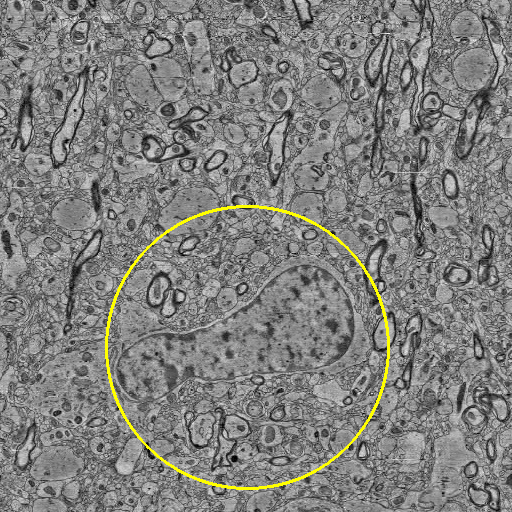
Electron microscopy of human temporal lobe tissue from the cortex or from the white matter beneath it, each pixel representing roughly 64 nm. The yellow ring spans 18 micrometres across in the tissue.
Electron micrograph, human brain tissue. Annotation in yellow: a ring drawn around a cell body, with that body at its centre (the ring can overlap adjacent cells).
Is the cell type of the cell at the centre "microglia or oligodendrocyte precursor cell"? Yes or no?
Yes, it is of that type.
